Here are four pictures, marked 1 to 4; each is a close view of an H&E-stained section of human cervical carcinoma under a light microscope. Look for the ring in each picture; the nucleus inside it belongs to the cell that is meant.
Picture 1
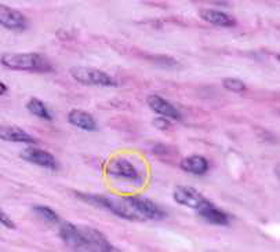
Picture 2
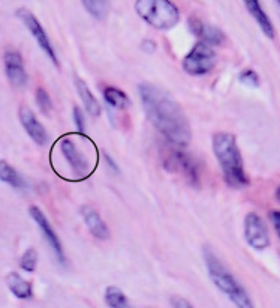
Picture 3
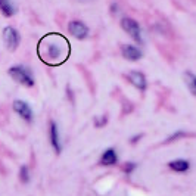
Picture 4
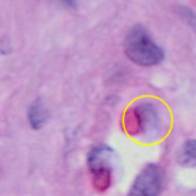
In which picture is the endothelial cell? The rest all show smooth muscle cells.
4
